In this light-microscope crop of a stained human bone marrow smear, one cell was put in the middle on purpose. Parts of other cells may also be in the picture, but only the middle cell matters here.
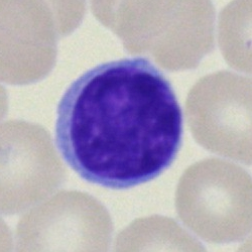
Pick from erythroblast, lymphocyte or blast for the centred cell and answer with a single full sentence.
The crop shows a lymphocyte in its centre.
